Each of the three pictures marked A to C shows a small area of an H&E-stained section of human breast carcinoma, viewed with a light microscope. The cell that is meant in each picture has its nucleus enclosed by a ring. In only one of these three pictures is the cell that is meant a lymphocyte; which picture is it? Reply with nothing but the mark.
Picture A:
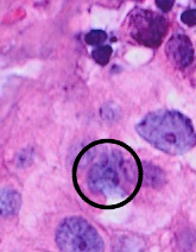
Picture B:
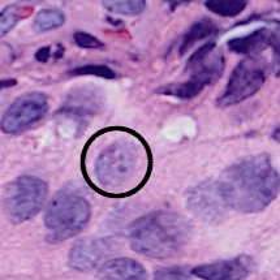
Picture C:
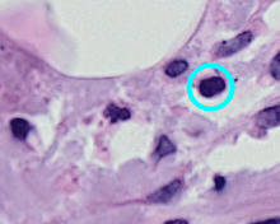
C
